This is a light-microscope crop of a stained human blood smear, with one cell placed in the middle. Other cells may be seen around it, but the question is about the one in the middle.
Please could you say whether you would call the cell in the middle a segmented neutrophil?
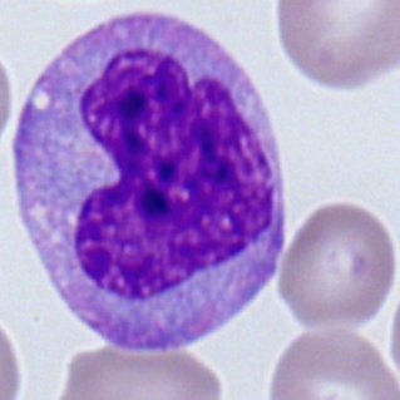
no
